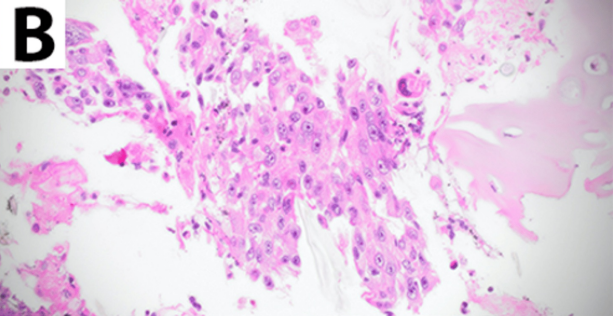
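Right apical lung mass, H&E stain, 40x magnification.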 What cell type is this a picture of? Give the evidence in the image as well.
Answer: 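Malignant cells. A cohesive cluster of large polygonal cells with abundant pink cytoplasm. Nuclei are large and round to irregular with visible nucleoli. Nuclei vary in size across the cluster.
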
